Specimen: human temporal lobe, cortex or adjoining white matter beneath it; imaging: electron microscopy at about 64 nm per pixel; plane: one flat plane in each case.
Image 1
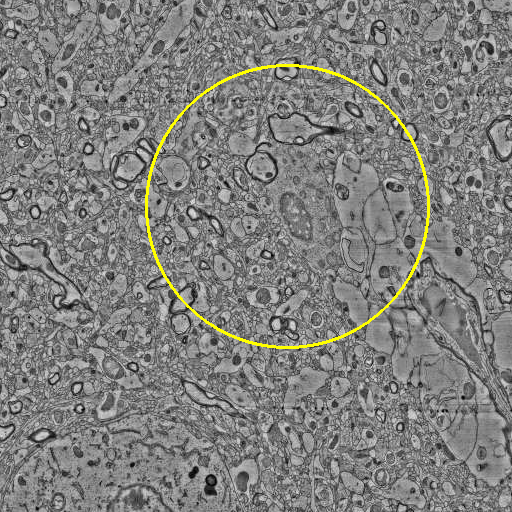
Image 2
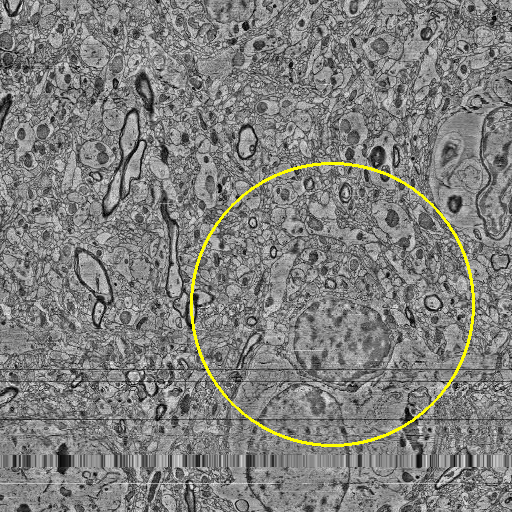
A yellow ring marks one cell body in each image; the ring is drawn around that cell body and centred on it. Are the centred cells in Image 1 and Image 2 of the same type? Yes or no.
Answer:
yes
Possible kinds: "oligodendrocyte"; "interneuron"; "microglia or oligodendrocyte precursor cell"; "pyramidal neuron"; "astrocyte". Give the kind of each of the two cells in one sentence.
Each cell at the centre of a ring is an oligodendrocyte.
